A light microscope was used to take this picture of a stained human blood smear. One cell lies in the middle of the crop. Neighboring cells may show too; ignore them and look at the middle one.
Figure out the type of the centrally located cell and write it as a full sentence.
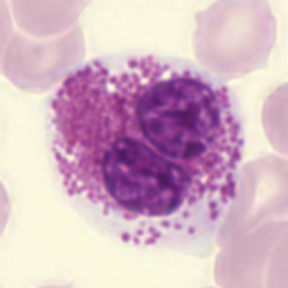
As for the central cell, it is an eosinophil.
